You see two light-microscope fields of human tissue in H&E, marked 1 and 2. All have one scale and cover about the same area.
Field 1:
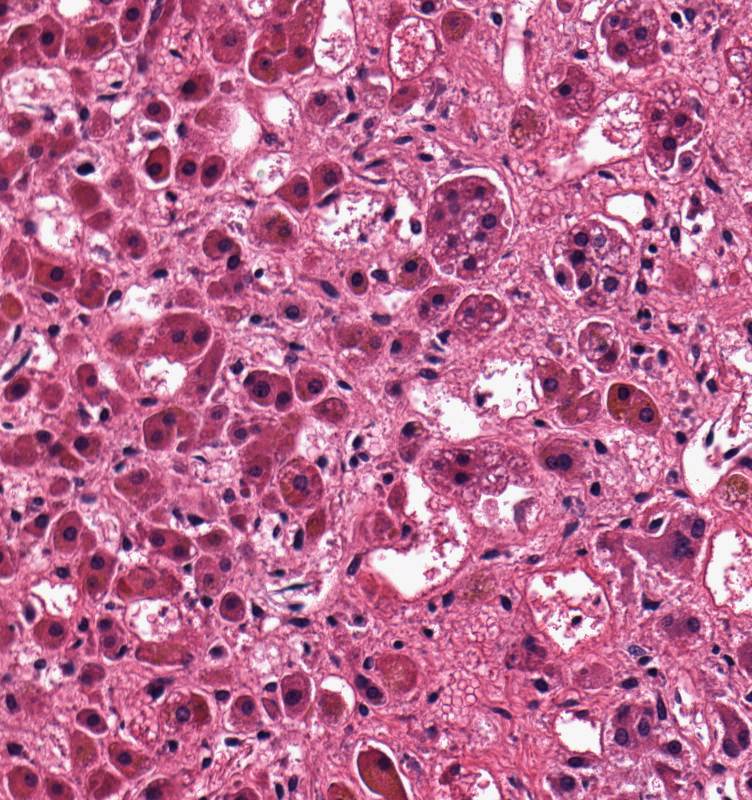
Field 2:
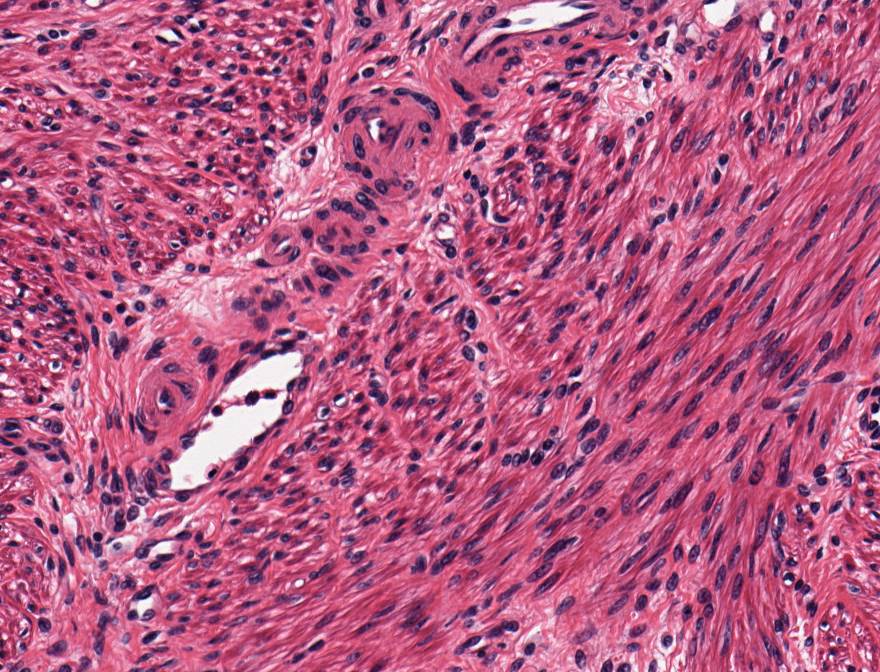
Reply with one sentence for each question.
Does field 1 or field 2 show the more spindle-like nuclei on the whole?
On the whole the nuclei of field 2 are more drawn out than those of field 1.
